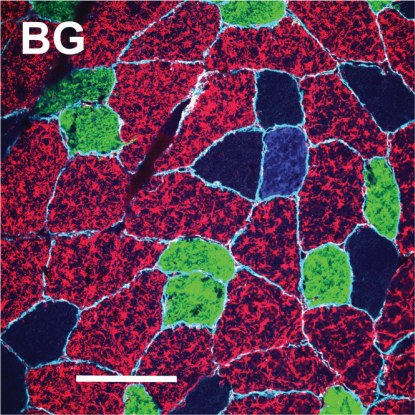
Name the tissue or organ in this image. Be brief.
Muscle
